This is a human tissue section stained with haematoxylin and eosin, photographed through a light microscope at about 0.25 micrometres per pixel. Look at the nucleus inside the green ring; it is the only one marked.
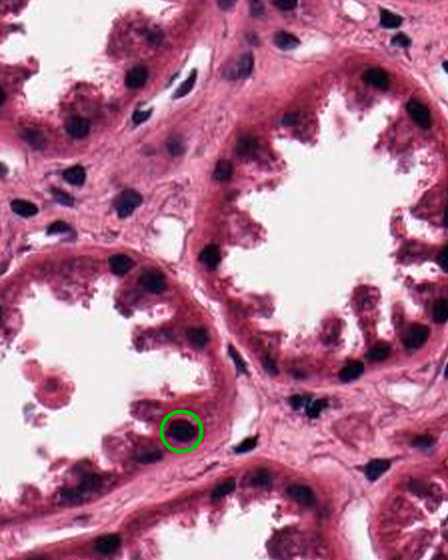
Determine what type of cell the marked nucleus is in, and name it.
proximal tubule cell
